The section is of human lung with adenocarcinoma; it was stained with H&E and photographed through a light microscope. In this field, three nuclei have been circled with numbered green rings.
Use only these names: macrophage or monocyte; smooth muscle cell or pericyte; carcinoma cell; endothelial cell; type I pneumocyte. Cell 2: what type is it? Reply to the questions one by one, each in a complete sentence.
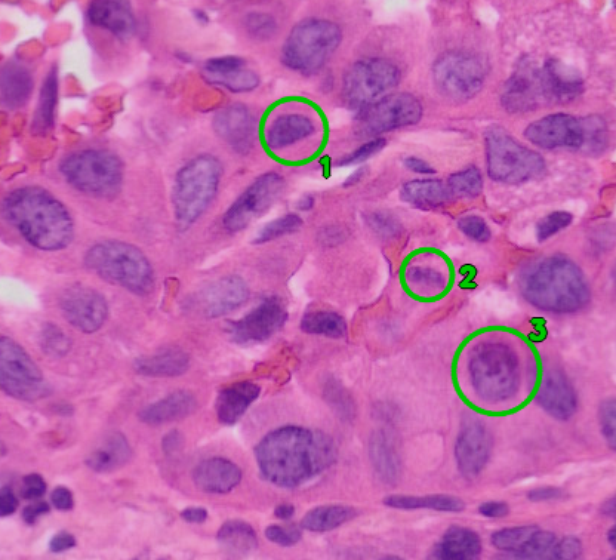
Among the marked nuclei, number 2 belongs to a macrophage or monocyte.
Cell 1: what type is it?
The cell marked with the number 1 is a carcinoma cell.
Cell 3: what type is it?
Cell 3 of the marked set is a carcinoma cell.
